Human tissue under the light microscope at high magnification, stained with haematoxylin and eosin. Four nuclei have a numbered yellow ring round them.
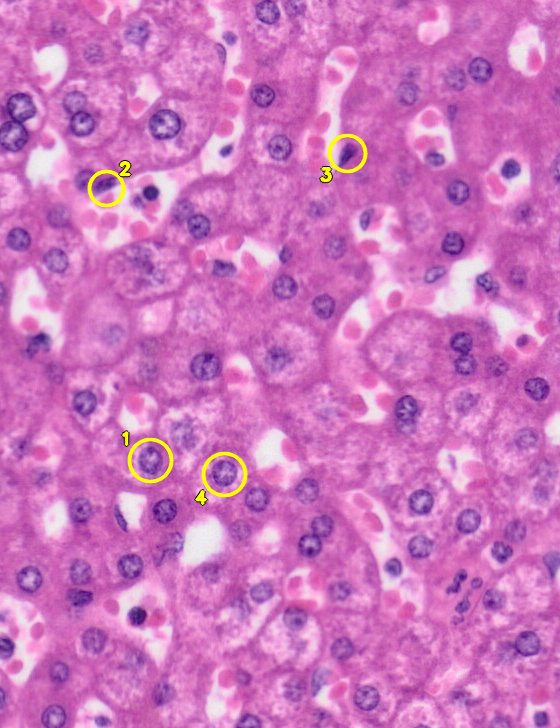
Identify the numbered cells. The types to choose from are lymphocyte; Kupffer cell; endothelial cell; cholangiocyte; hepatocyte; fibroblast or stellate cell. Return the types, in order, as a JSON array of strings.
["hepatocyte", "fibroblast or stellate cell", "fibroblast or stellate cell", "hepatocyte"]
